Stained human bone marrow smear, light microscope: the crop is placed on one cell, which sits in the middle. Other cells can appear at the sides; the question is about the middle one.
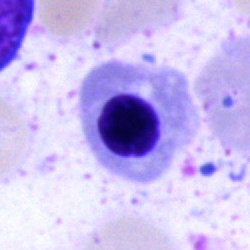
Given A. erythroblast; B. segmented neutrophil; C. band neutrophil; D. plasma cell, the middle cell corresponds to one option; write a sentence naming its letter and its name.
Option A is the correct option, with the middle cell being an erythroblast.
